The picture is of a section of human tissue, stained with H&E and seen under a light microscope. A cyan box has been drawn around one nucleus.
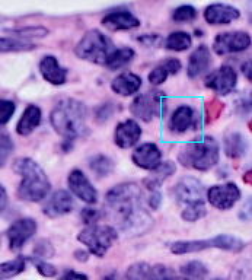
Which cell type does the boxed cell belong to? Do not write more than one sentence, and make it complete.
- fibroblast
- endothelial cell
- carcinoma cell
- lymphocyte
On this particular slide, the boxed cell is a lymphocyte.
